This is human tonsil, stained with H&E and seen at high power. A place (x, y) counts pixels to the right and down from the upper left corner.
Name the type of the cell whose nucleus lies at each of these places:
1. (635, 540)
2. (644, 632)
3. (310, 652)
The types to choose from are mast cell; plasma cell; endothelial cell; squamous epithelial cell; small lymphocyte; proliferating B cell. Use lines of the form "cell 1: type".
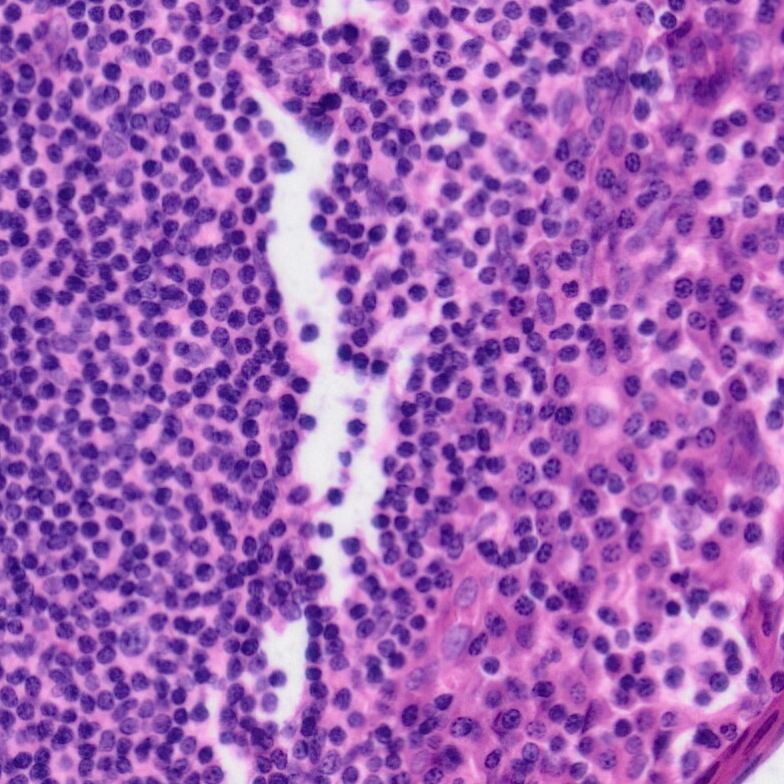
cell 1: plasma cell
cell 2: plasma cell
cell 3: small lymphocyte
